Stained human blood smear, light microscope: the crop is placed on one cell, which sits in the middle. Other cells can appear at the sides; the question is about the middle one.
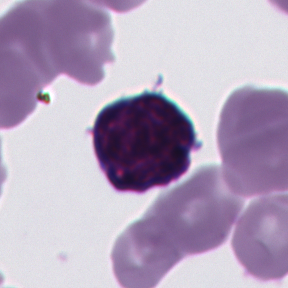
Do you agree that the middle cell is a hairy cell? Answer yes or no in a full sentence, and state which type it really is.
No, the cell in the middle should be called a myeloblast instead of a hairy cell.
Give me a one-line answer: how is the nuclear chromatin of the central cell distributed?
What stands out is chromatin that is coarsely clumped.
